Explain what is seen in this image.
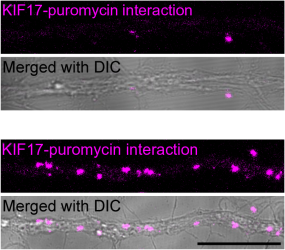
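Discrete bright magenta dots lie on the dendritic shafts. The background between the dots is dark and nearly free of diffuse magenta.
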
